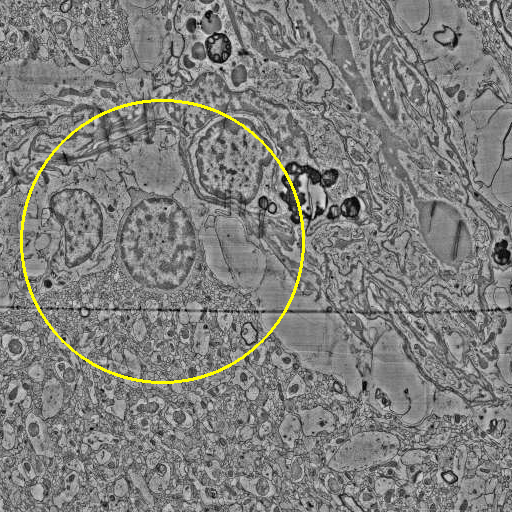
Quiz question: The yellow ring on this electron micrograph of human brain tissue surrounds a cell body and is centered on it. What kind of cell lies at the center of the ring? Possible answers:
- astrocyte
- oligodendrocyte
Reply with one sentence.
The ring's center lies on an oligodendrocyte.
